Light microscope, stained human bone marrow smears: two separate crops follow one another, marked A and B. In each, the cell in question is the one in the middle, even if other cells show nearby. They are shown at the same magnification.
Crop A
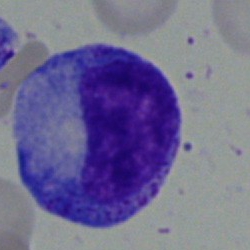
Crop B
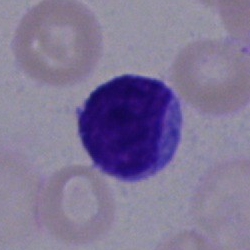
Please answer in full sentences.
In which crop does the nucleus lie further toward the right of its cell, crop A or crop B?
In crop A the nucleus is shifted more toward the right.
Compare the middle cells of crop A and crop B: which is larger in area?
Crop A holds the larger cell; it covers about 2.5 times the area of the cell in crop B.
